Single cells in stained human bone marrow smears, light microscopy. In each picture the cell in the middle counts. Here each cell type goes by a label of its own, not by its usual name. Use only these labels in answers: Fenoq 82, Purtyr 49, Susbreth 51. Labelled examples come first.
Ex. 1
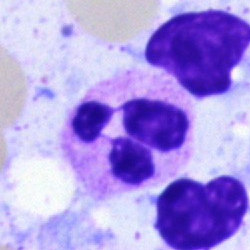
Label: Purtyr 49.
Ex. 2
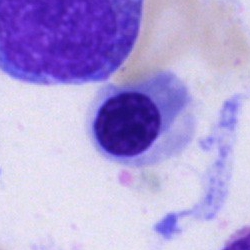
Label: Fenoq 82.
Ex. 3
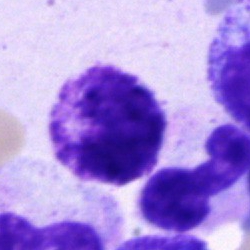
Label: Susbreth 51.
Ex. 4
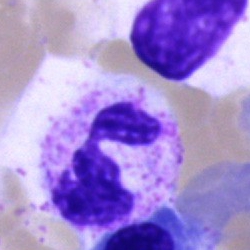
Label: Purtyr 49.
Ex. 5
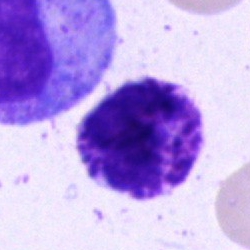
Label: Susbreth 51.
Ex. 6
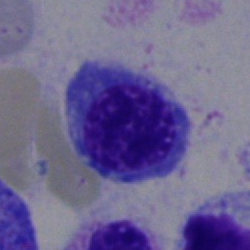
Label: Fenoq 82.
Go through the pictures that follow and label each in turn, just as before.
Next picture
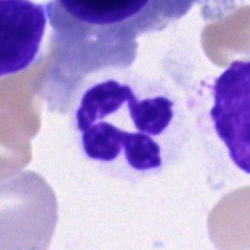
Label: Purtyr 49.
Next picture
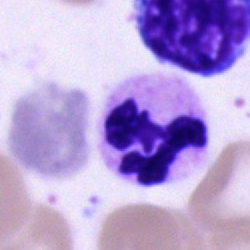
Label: Purtyr 49.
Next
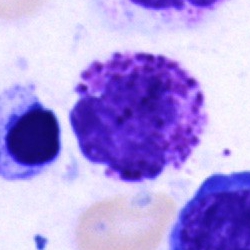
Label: Susbreth 51.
